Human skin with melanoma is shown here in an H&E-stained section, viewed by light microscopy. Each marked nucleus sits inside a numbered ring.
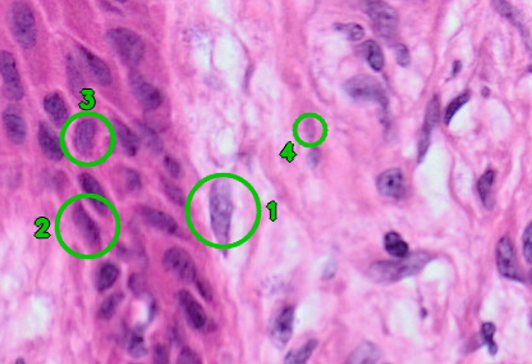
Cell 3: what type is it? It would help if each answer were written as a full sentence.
Identified by the number 3, the cell is a keratinocyte.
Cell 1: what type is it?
The cell tagged with 1 in this tissue section is a fibroblast or myofibroblast.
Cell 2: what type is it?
The cell referred to as 2 is a keratinocyte.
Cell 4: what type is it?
The cell pointed out as number 4 is a fibroblast or myofibroblast.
